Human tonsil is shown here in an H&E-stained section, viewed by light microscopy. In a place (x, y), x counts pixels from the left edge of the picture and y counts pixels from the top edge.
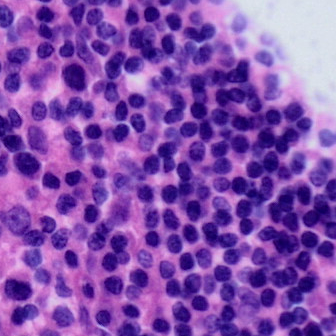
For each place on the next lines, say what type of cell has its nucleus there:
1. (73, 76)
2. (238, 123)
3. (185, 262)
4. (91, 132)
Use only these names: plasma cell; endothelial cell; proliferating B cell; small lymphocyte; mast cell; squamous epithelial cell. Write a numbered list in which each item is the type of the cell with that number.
1. proliferating B cell
2. small lymphocyte
3. small lymphocyte
4. small lymphocyte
